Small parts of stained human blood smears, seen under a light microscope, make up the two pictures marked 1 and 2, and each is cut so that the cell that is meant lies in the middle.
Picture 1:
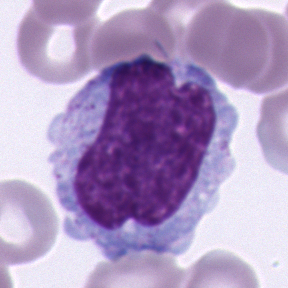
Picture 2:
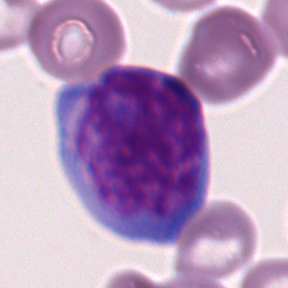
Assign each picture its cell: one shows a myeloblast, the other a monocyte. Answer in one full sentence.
Picture 1 shows a monocyte and picture 2 shows a myeloblast.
